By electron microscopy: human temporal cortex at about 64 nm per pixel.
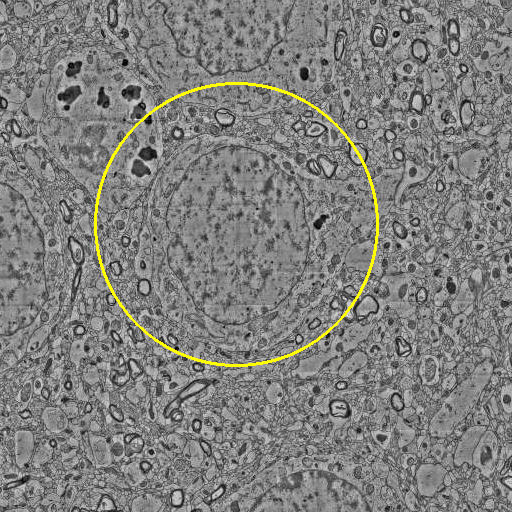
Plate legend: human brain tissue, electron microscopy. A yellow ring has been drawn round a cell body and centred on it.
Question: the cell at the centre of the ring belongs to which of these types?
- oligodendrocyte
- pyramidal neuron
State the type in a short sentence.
The cell in the middle of the ring is a pyramidal neuron.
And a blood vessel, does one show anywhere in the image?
No.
